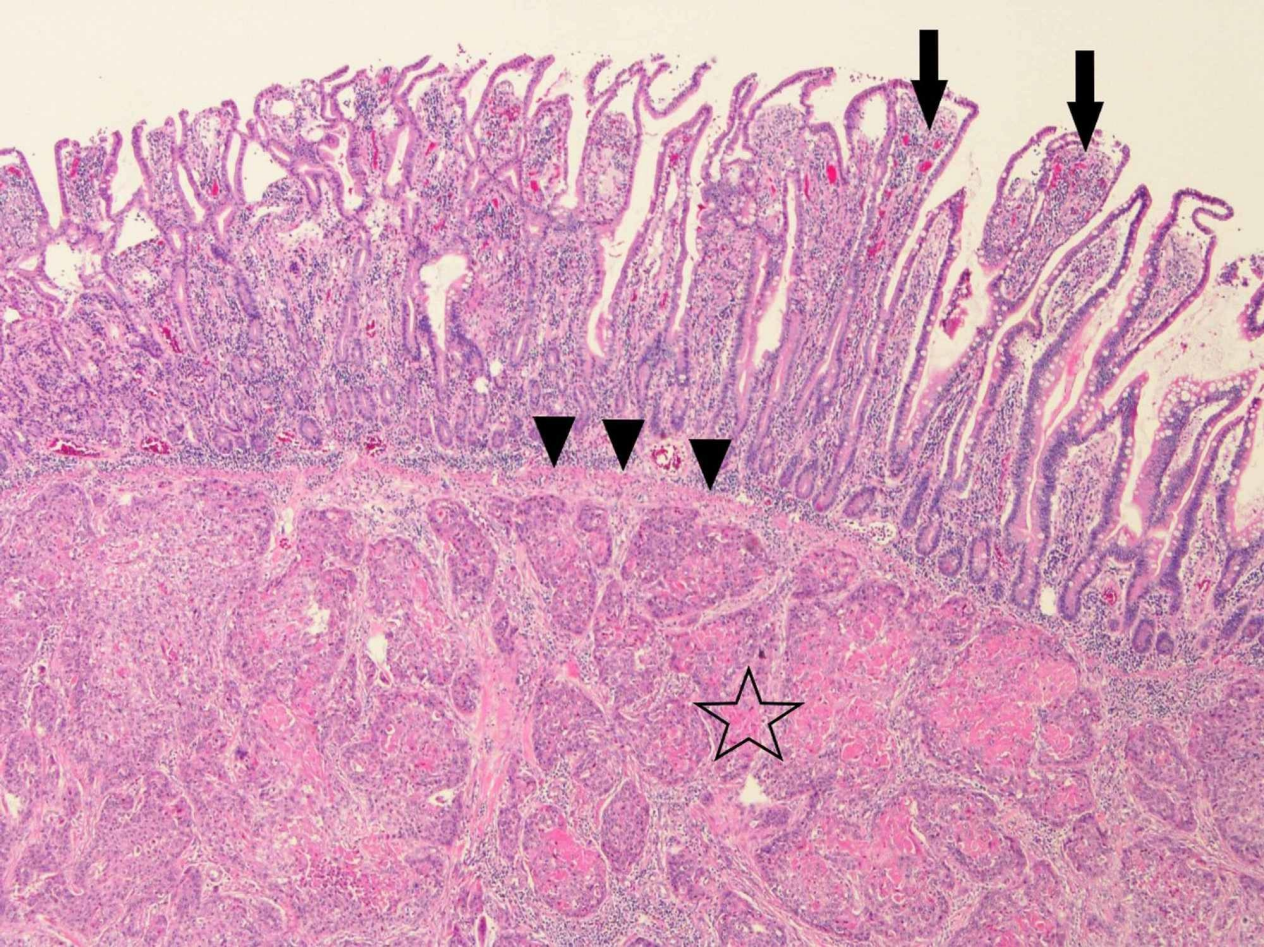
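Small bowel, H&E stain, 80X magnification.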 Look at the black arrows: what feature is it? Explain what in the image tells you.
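Long finger-like projections rise from the mucosal surface. Each projection is lined by a single layer of columnar epithelium with goblet cells. Each projection has a core of loose cellular stroma with small vessels.
Answer: intestinal villi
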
